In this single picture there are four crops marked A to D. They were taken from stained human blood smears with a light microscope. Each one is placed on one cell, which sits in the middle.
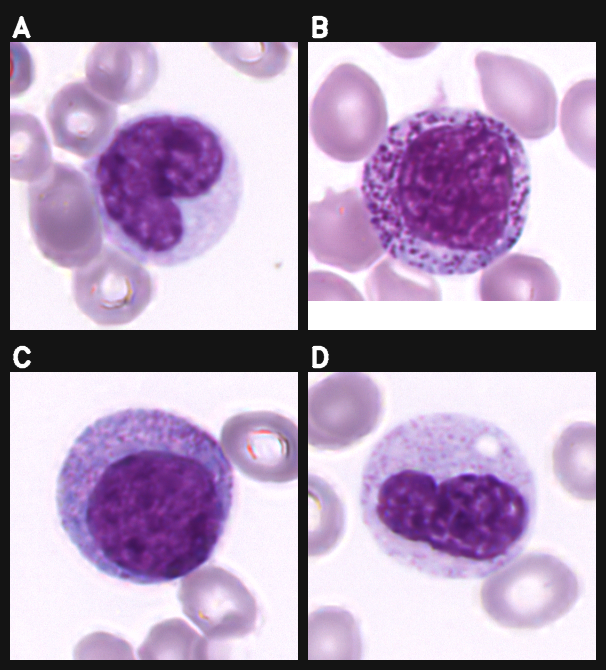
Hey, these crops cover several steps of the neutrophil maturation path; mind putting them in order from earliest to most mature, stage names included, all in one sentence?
Maturity increases along the sequence crop C (a promyelocyte), crop B (a myelocyte), crop A (a metamyelocyte) and crop D (a band neutrophil).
